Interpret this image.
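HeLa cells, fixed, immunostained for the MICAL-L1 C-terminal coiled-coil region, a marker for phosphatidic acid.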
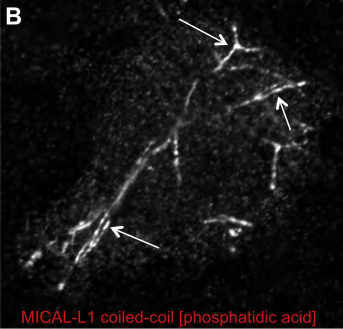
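Against a faintly speckled cytoplasm, bright thin tubules stand out: long parallel strands run diagonally across the lower left of the cell, while shorter tubules in the upper right branch and join at small star-like junctions. The tubules are beaded in places, with brighter dots along their length. The outer edge of the cell is barely lit in this image, so the tubules appear to lie inside the cytoplasm rather than along the cell border. The arrows point to three such tubular stretches.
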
